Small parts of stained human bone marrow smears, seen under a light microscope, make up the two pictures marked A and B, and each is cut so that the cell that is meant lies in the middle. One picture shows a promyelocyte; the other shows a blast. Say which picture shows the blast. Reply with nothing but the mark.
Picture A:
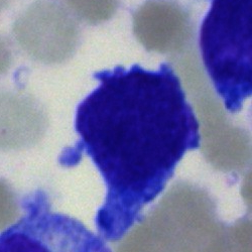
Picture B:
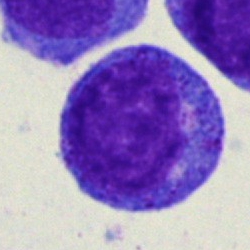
A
